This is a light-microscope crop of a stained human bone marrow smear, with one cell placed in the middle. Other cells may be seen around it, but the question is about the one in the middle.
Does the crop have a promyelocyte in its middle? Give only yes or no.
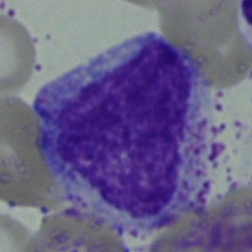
no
